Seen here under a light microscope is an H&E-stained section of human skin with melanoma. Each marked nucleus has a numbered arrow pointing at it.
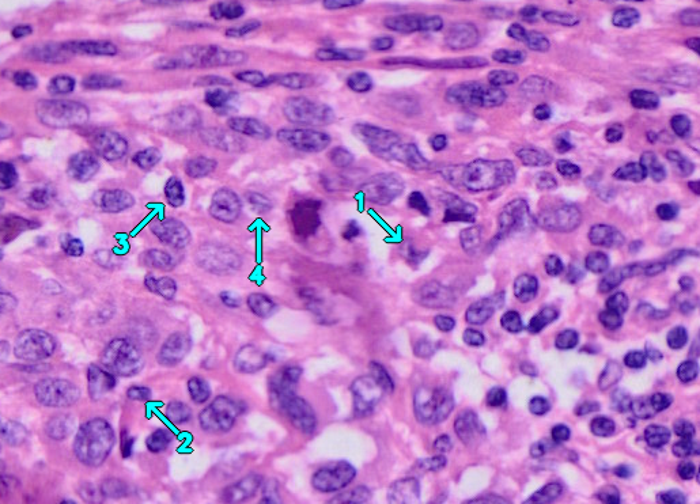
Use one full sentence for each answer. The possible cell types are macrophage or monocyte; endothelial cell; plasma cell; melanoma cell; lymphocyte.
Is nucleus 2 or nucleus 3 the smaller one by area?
The smaller nucleus is 2, and 3 covers roughly 1.5 times its area.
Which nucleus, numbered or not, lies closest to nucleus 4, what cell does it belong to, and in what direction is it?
The nearest one is a melanoma cell, found to the left of nucleus 4.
